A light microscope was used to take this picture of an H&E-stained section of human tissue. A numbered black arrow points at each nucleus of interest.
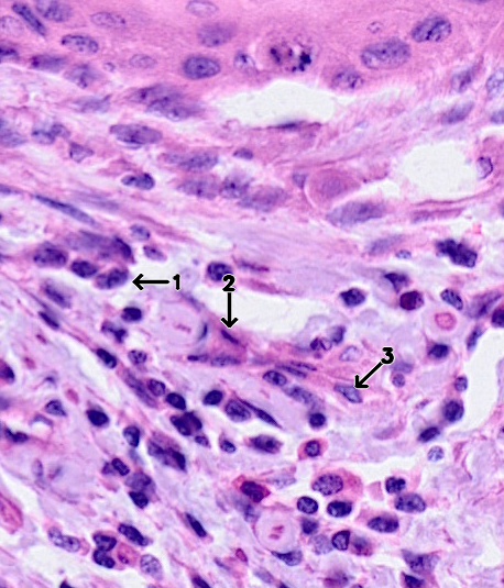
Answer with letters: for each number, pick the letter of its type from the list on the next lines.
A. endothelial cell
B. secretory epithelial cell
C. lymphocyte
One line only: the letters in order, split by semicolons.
C; A; A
